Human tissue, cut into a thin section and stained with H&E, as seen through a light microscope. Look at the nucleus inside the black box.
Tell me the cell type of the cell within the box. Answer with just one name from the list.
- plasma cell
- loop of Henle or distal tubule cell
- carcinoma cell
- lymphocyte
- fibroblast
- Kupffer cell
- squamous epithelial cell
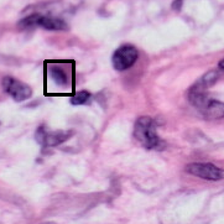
plasma cell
